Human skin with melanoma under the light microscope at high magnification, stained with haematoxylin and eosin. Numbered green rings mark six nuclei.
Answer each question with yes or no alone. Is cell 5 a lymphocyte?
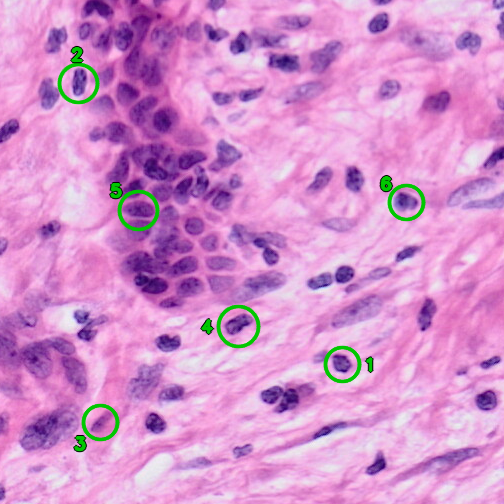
no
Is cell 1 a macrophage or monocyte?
no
